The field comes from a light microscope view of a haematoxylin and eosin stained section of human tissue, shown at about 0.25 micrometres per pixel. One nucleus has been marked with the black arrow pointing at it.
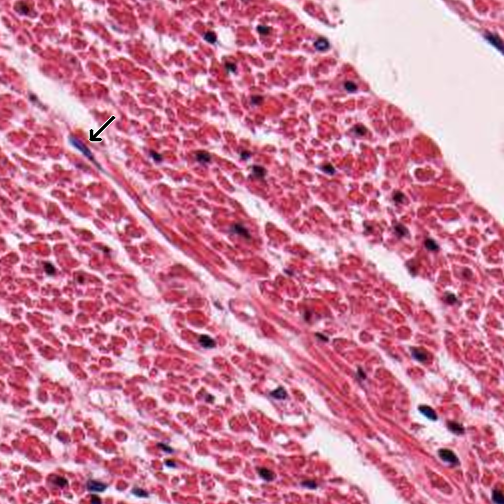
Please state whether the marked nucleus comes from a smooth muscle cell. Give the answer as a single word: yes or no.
no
